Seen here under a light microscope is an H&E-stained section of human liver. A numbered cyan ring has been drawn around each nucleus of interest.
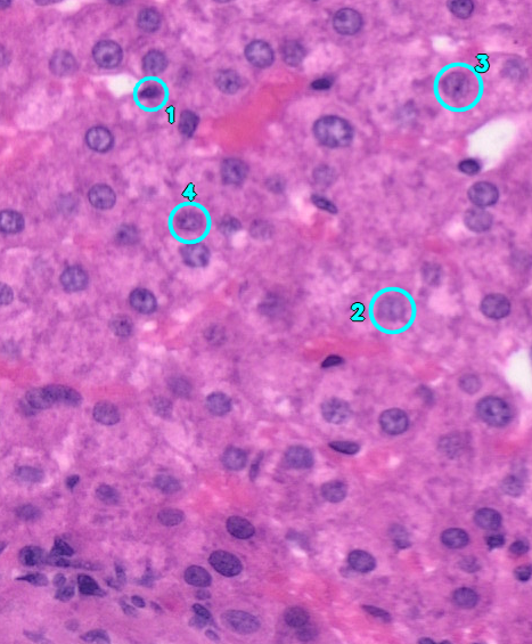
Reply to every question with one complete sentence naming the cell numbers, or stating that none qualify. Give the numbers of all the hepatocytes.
As for the cells numbered 2, 3 and 4, they are hepatocytes.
